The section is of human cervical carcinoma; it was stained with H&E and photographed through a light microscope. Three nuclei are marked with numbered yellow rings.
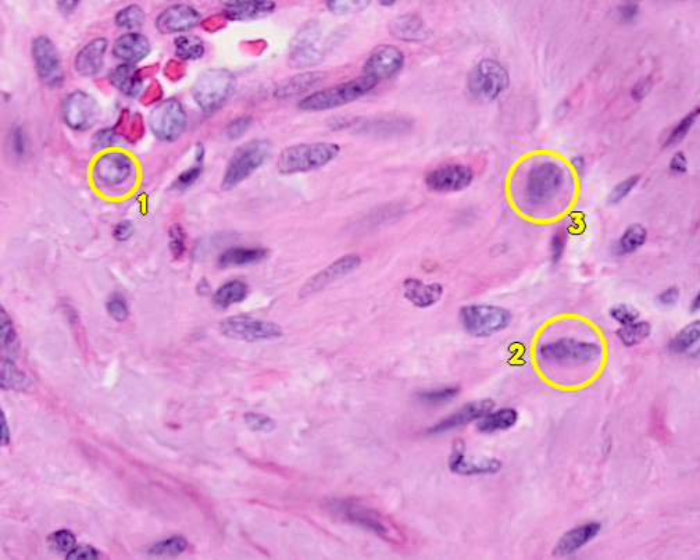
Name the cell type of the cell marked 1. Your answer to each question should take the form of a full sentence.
Number 1 among the marked cells is an endothelial cell.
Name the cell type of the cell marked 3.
Of the numbered cells, the one labelled 3 is a fibroblast.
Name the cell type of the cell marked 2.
The cell whose nucleus carries the number 2 is a fibroblast.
